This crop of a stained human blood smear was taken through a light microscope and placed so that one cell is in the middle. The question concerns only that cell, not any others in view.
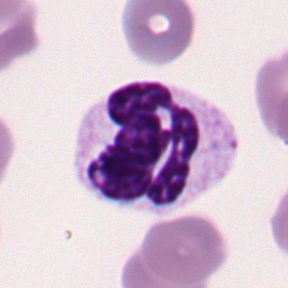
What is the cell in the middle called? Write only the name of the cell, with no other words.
neutrophil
